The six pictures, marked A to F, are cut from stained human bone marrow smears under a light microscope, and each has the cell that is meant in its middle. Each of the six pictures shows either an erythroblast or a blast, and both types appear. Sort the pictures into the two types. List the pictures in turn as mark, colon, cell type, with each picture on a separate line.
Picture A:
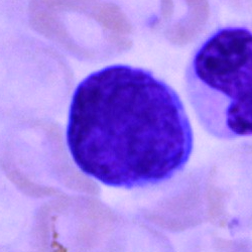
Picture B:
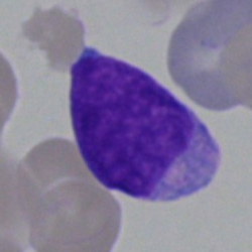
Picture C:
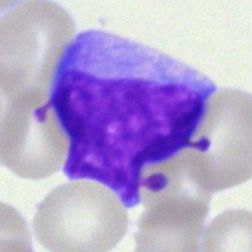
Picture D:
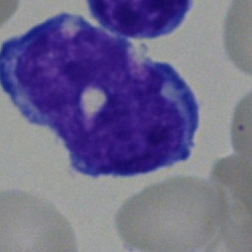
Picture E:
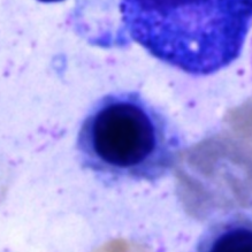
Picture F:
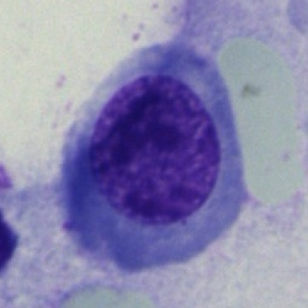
A: blast
B: blast
C: blast
D: blast
E: erythroblast
F: erythroblast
